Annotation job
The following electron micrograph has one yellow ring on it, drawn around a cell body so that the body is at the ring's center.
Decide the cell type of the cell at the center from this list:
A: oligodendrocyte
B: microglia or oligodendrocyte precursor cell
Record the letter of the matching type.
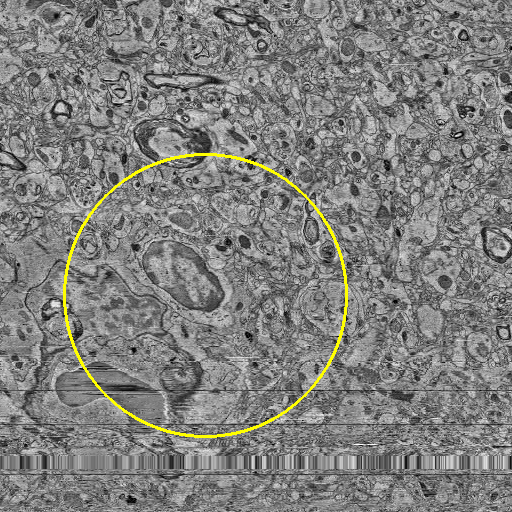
B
